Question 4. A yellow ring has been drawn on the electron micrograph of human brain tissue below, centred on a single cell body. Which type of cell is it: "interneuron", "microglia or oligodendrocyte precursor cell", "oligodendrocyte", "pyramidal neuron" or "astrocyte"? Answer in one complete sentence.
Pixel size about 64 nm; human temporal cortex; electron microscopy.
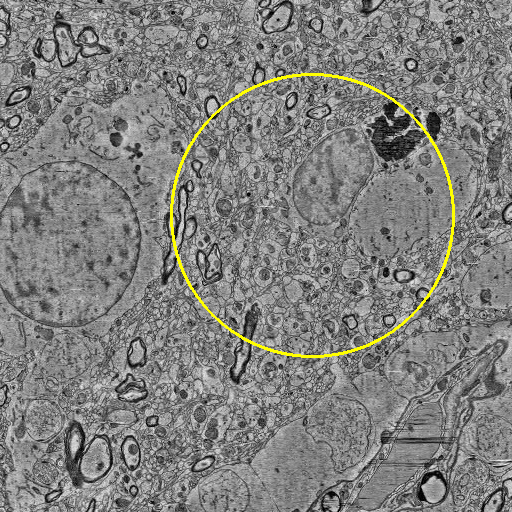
This cell body belongs to an oligodendrocyte.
